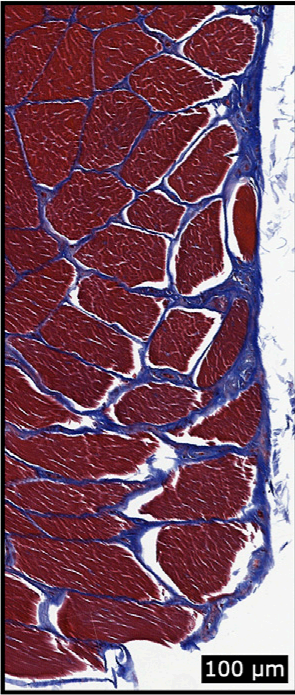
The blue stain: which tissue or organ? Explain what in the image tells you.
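Fibrous tissue. Blue-stained strands lie between the red polygonal fibres. The blue material is thin and fibrillar.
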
